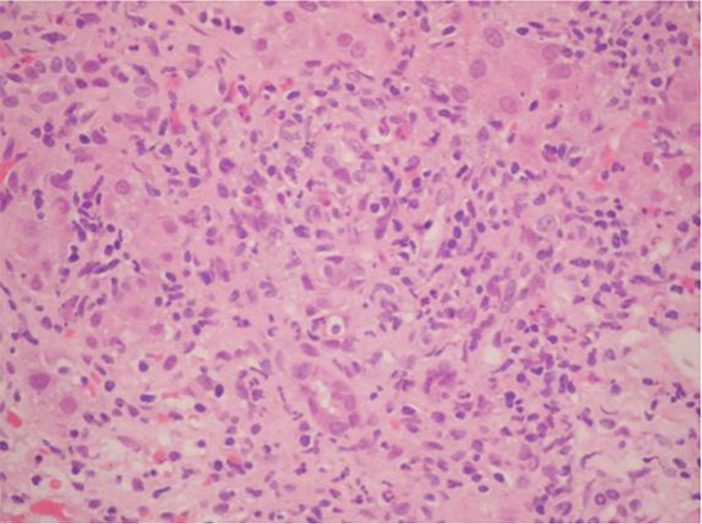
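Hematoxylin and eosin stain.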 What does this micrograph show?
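A portal tract of the liver is densely crowded with mixed inflammatory cells, lymphocytes and plasma cells among them, with scattered granulocytes. The small lymphocytes have dark round nuclei and scant cytoplasm, while other cells have more pink cytoplasm and eccentric nuclei. Around the infiltrate lie large polygonal hepatocytes with abundant pink cytoplasm and round central nuclei, and the inflammatory cells spill in between them at the edges.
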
